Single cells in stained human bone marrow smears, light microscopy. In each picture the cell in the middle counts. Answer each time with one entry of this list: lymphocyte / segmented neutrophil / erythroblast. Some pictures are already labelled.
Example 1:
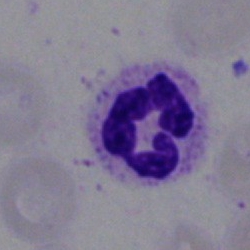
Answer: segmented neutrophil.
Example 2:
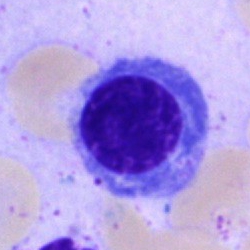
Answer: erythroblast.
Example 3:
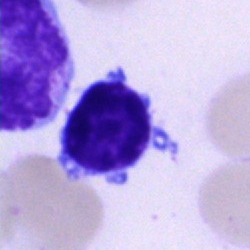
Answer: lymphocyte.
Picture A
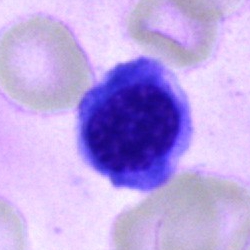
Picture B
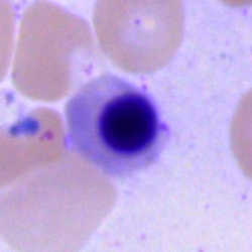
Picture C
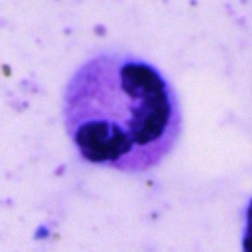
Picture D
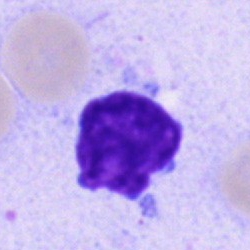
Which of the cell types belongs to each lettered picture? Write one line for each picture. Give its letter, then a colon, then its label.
A: erythroblast.
B: erythroblast.
C: segmented neutrophil.
D: lymphocyte.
